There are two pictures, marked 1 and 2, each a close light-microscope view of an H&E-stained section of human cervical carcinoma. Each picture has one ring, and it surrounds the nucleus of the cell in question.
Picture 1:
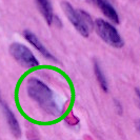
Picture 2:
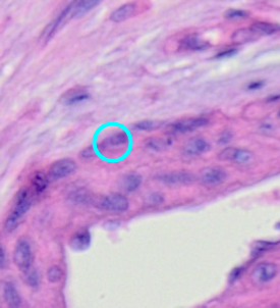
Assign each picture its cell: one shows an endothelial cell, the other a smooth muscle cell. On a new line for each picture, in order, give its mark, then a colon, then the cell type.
1: endothelial cell
2: smooth muscle cell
